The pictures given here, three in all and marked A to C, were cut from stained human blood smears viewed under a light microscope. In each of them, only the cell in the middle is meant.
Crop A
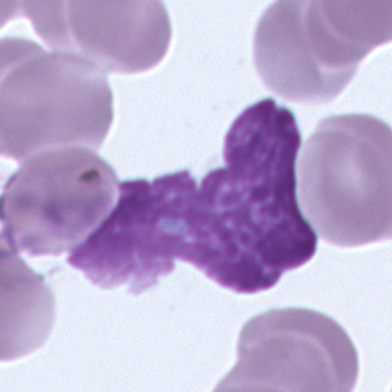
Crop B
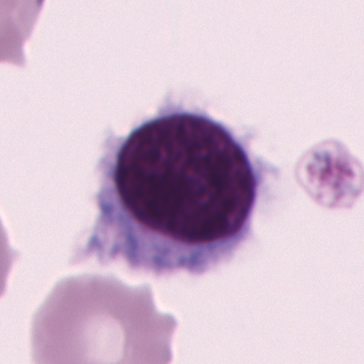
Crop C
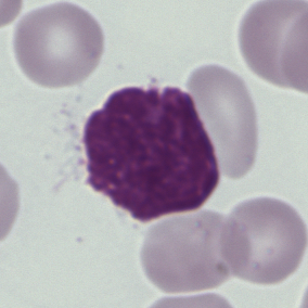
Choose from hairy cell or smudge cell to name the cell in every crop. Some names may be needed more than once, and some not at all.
A: smudge cell
B: hairy cell
C: smudge cell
